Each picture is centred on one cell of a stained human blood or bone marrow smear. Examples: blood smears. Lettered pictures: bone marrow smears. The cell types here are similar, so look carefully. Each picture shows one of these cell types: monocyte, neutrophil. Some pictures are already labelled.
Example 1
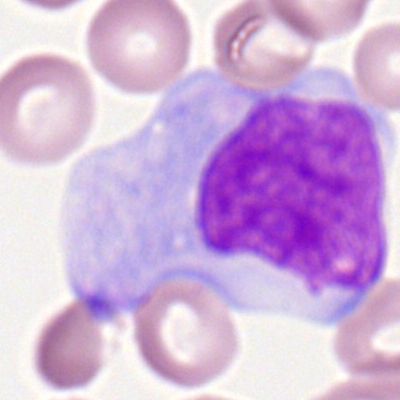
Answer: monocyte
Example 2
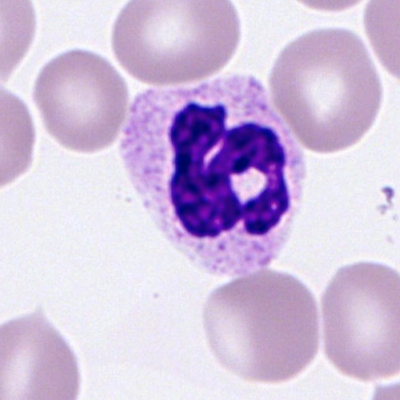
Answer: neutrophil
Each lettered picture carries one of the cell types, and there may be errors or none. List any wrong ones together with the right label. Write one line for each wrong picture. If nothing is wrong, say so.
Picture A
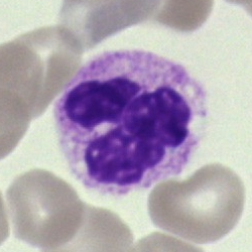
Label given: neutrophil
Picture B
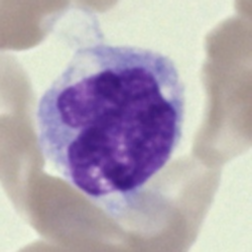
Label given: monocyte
None of the labels needs changing.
